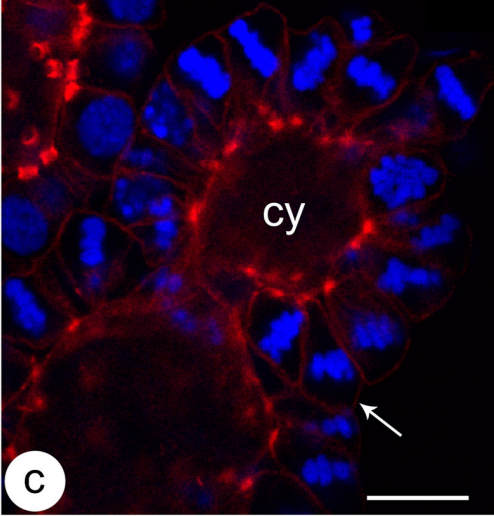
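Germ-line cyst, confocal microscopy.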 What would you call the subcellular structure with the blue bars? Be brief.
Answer: Metaphase plates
